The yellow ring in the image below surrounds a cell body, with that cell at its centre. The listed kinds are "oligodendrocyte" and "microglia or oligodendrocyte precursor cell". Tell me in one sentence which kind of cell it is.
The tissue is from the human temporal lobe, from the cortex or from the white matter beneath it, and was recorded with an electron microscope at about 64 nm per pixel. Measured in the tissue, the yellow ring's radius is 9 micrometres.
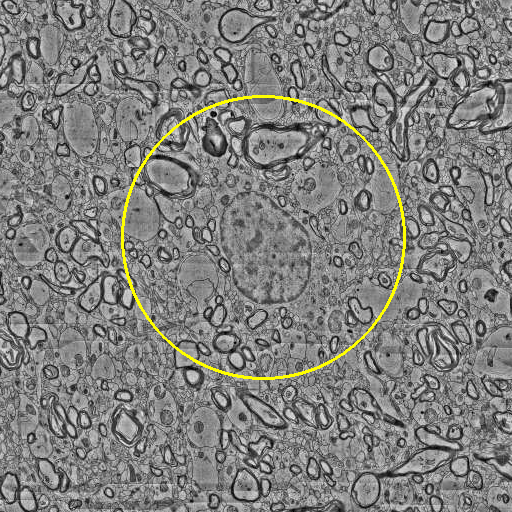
The centre of the ring holds an oligodendrocyte.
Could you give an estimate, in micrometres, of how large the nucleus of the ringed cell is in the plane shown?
About 8 by 6 micrometers for the nucleus, in this plane.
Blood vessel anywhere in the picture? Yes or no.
No.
